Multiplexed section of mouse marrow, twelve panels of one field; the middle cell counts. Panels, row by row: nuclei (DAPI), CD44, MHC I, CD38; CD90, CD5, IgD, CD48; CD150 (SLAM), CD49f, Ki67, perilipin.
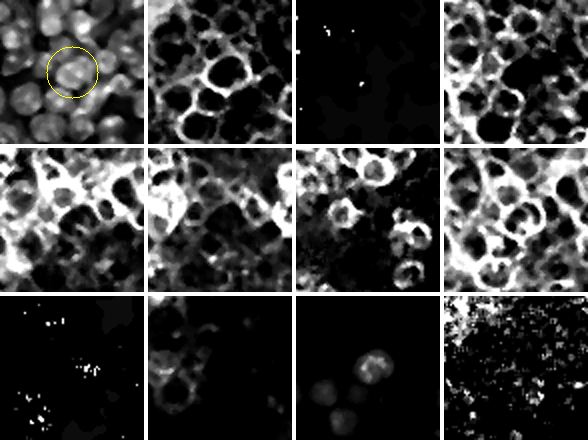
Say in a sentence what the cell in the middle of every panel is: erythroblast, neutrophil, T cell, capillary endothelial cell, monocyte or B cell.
This is a monocyte.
